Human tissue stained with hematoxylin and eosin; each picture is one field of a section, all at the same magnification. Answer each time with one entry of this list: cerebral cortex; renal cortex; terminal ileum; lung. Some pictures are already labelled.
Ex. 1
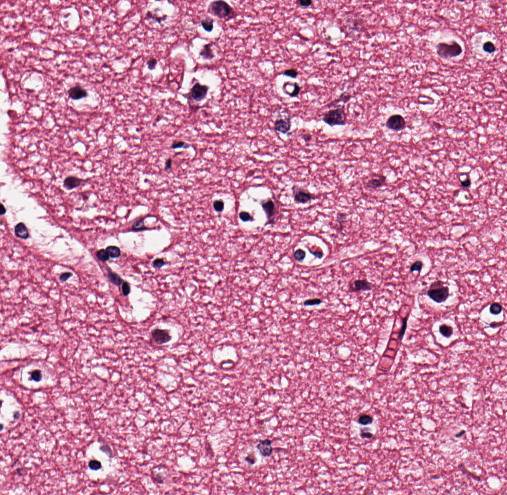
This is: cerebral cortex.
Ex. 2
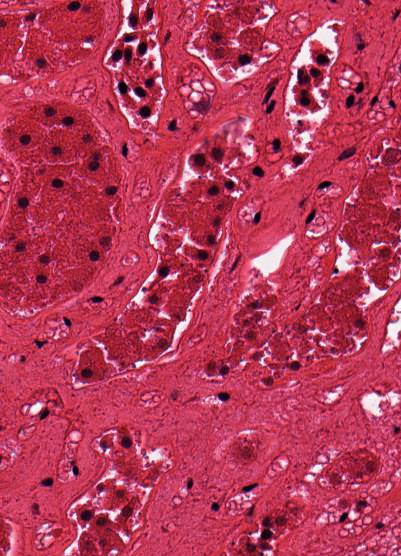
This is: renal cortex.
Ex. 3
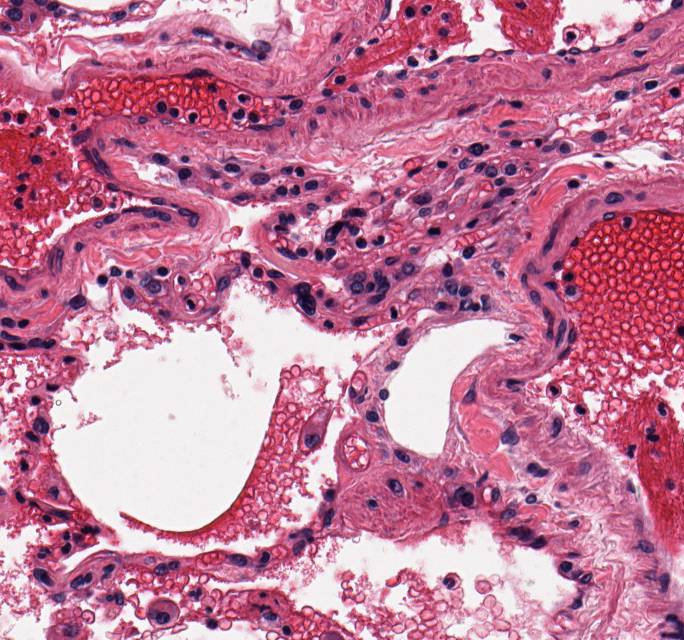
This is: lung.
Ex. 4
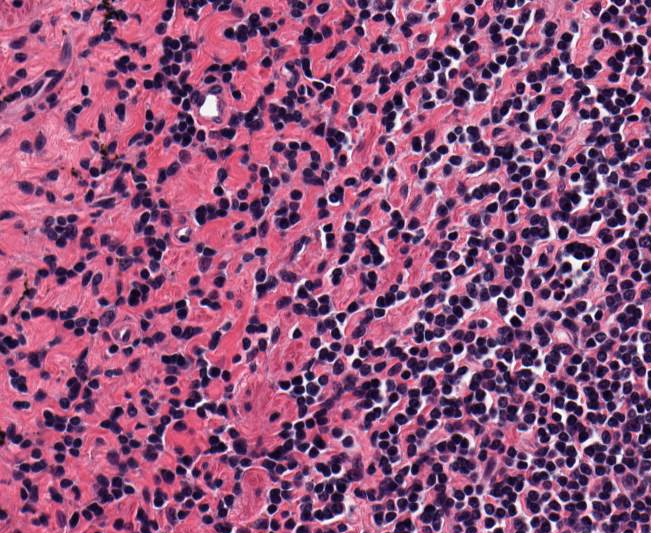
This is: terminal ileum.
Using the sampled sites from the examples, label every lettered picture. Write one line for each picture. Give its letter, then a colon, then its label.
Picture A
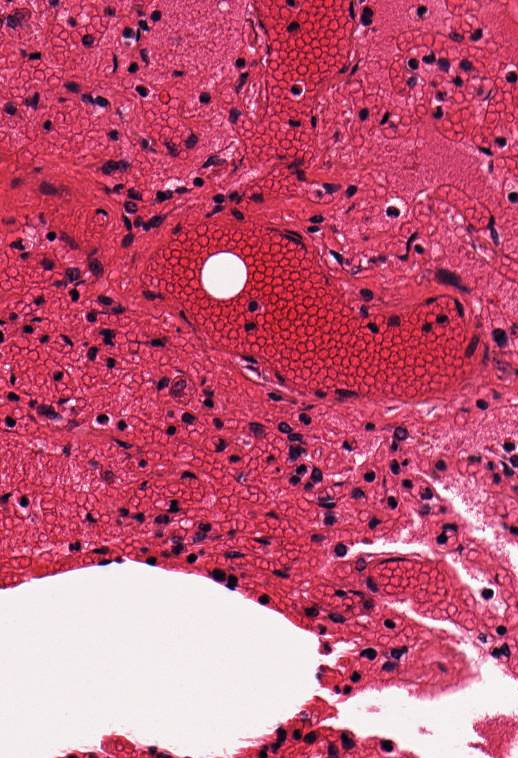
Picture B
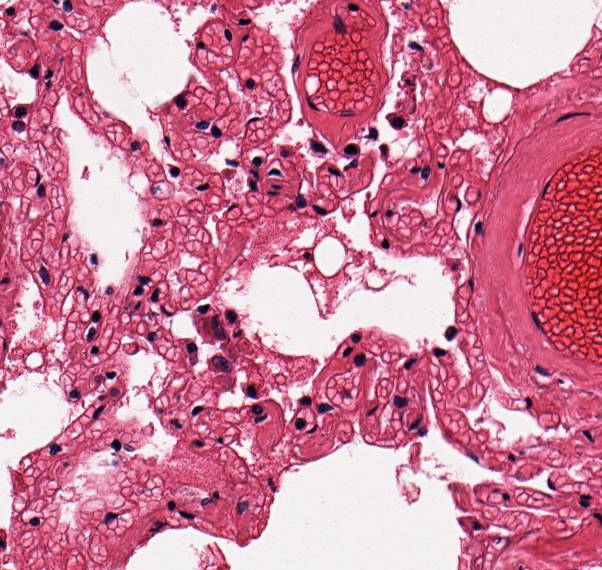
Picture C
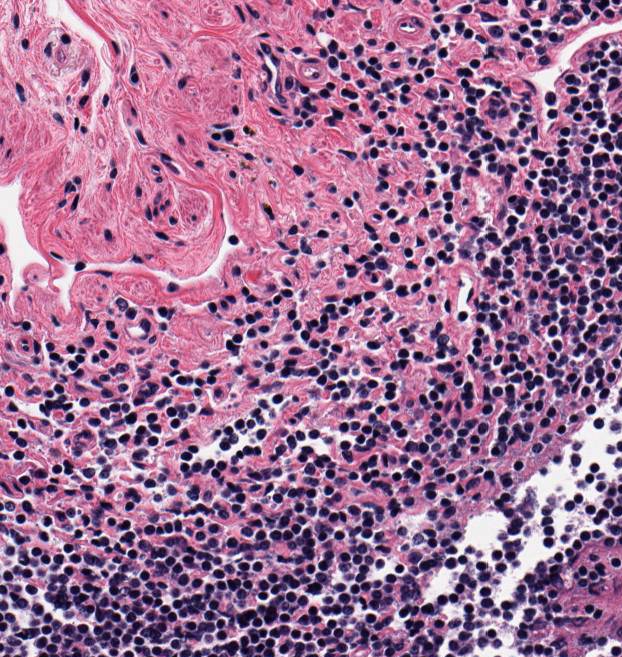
A: lung.
B: lung.
C: terminal ileum.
